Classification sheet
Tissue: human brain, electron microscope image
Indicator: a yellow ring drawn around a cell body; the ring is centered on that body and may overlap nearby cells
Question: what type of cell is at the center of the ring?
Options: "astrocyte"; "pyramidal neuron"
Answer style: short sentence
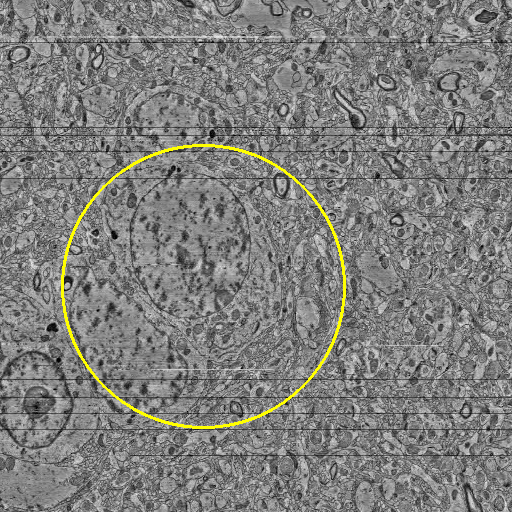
At the ring's center is a pyramidal neuron.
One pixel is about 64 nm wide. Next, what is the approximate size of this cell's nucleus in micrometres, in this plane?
The nucleus works out at approximately 10 by 8 micrometres in this plane.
